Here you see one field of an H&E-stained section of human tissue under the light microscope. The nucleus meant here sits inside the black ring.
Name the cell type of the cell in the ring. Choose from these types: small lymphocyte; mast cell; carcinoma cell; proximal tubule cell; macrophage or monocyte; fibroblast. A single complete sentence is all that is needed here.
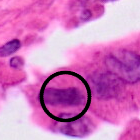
In the tissue at hand, the cell in the ring is a carcinoma cell.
